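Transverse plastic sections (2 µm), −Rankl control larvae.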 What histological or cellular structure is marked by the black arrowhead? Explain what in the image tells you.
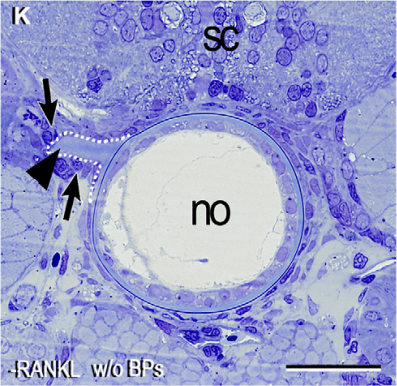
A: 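The band is outlined by a dotted line.
Base of the neural arches.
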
